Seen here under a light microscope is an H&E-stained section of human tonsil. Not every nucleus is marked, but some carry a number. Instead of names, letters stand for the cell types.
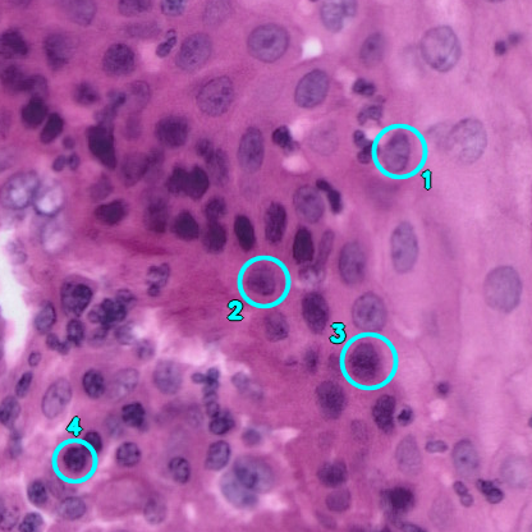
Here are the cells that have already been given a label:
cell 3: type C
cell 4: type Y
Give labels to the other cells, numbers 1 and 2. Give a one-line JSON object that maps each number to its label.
{"1": "type C", "2": "type C"}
